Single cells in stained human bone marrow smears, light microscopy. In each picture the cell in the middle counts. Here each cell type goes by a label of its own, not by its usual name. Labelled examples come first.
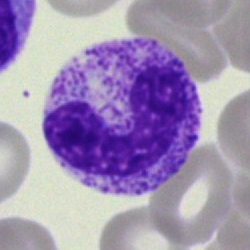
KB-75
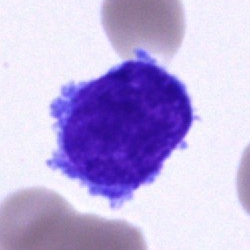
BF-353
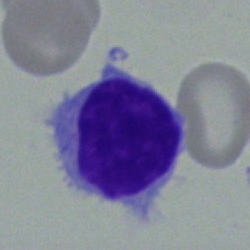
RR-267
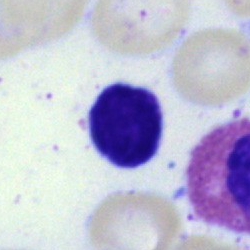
RR-267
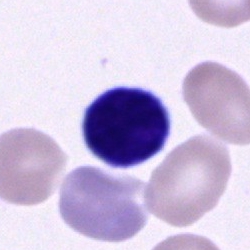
RR-267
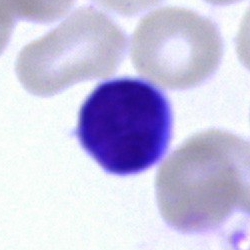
RR-267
